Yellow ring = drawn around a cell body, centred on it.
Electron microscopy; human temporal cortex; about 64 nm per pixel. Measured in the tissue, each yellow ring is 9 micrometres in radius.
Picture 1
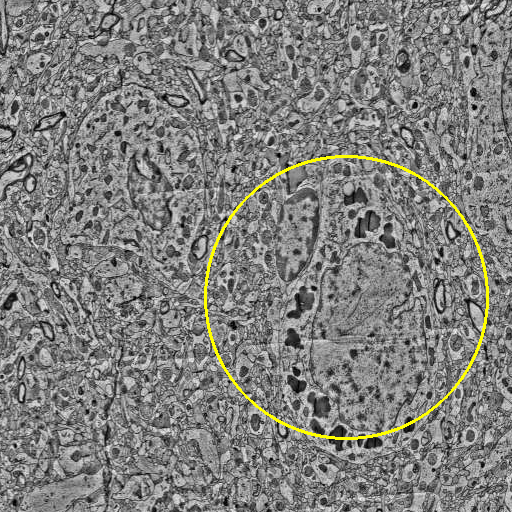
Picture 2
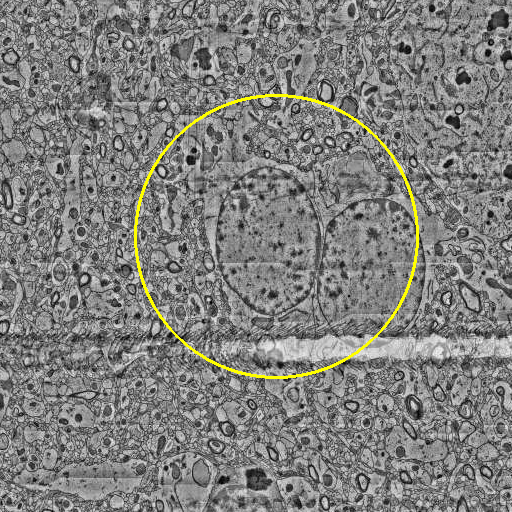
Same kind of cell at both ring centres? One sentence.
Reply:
No, they are two kinds of cell.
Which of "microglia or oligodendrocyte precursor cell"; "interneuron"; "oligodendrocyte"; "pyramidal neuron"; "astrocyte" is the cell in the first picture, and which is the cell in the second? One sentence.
The two differ: the first cell is an interneuron and the second is an astrocyte.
